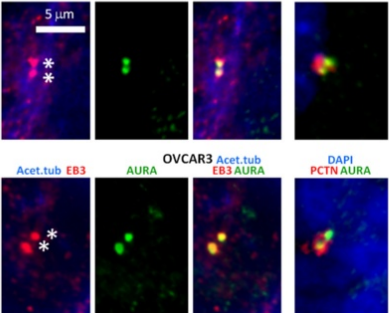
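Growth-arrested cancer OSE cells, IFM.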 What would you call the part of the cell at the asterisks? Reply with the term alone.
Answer: Centrioles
